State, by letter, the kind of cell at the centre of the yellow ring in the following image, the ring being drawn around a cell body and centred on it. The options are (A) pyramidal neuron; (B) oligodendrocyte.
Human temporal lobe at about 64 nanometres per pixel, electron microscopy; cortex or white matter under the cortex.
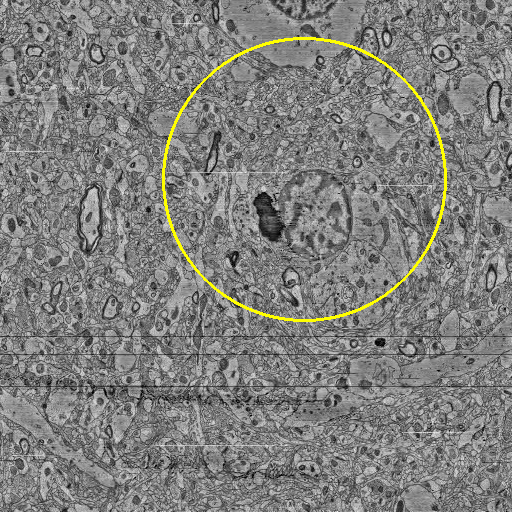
B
